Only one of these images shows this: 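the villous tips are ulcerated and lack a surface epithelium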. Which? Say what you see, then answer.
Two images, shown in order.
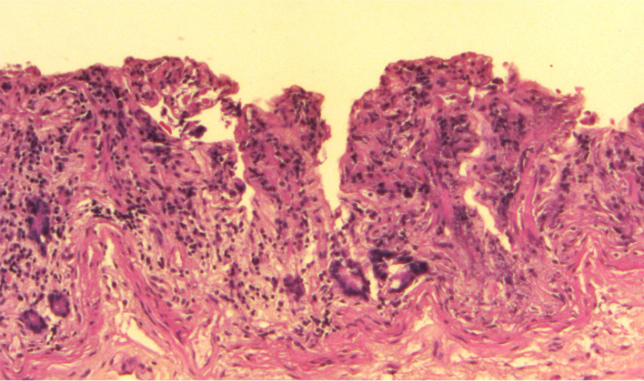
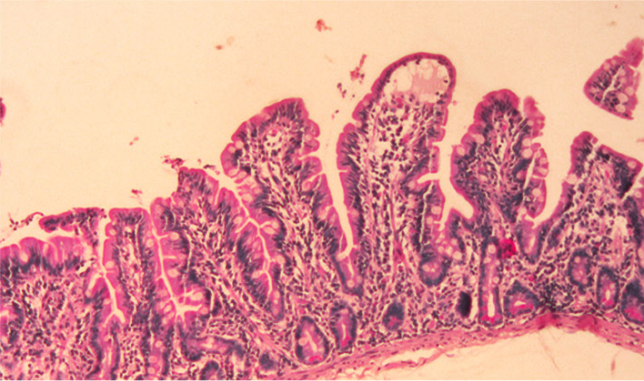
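The first image. First image: villi are short and blunt with ragged, denuded tops. Second image: villi are tall and slender, each covered by an unbroken columnar epithelium with goblet cells.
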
